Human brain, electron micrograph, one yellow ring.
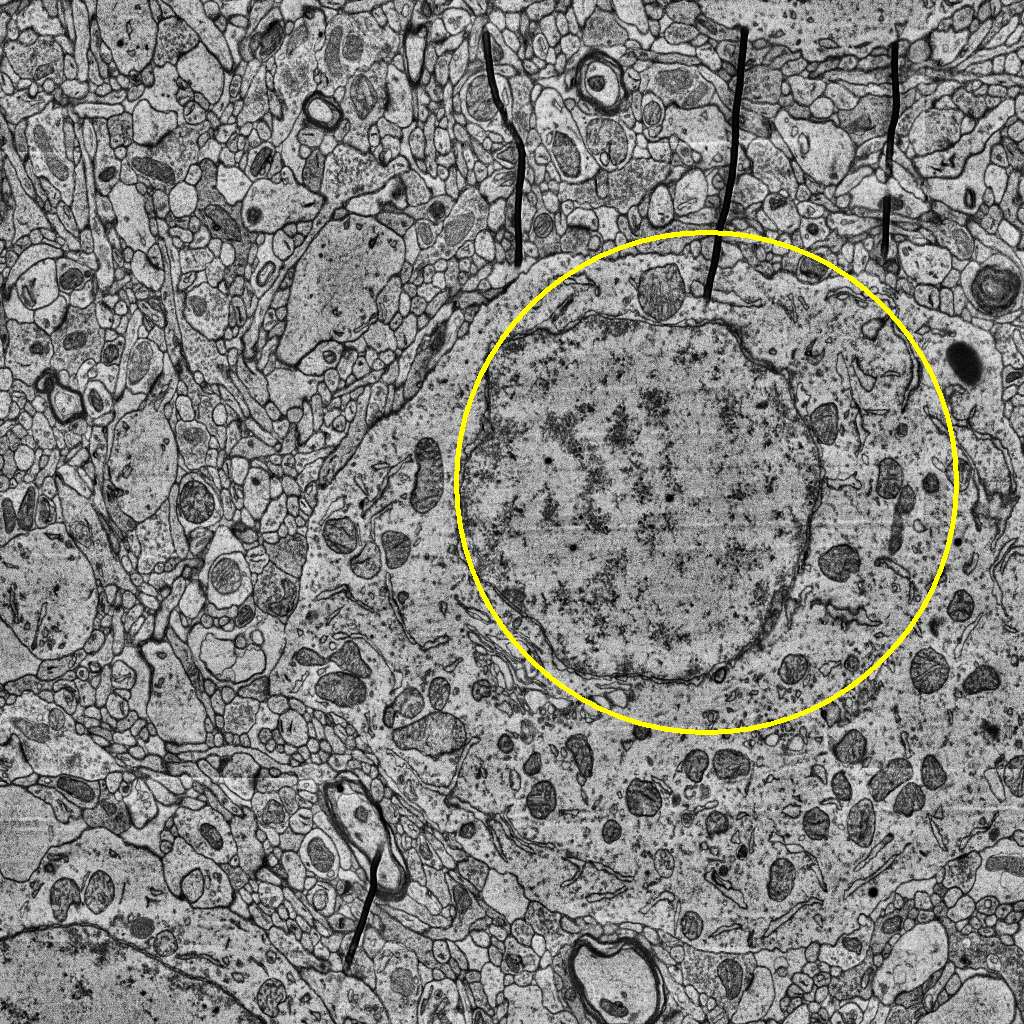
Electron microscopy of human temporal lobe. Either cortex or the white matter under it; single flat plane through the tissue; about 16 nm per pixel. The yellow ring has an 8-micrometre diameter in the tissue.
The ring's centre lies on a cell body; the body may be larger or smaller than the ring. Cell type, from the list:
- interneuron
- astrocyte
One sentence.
The yellow ring's centre lies on an interneuron.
